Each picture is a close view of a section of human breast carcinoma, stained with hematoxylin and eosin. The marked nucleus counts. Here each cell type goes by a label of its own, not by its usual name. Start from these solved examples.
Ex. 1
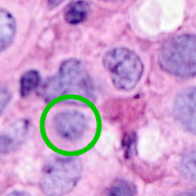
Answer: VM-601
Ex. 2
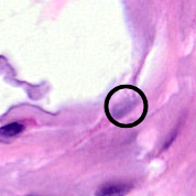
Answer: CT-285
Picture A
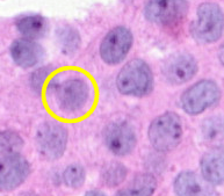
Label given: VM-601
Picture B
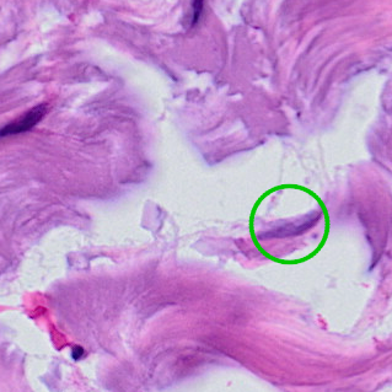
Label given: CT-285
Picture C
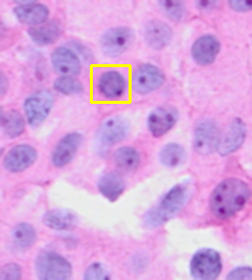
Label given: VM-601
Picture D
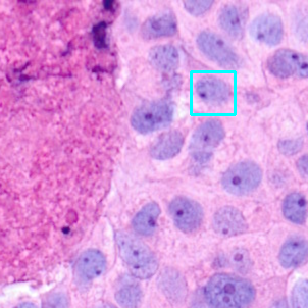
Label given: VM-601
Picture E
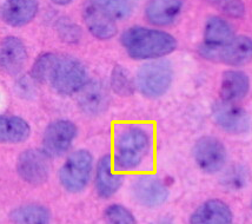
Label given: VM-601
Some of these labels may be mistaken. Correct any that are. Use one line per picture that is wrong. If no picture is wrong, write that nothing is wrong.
Every label is right.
